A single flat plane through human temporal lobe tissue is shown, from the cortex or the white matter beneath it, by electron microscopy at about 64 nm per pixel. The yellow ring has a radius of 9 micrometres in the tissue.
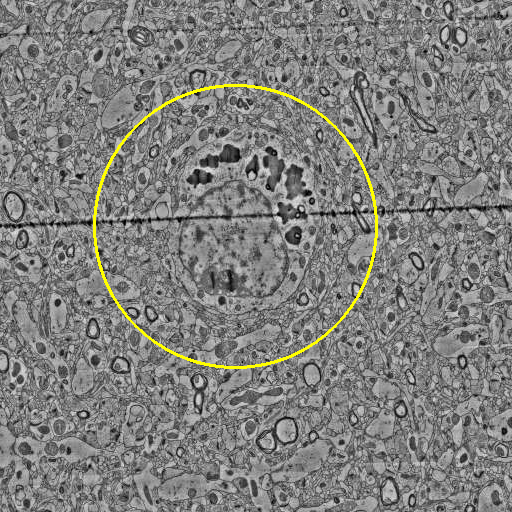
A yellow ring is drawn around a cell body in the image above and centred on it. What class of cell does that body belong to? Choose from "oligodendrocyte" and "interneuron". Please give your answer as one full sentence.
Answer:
The yellow ring above is centred on the cell body of an interneuron.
